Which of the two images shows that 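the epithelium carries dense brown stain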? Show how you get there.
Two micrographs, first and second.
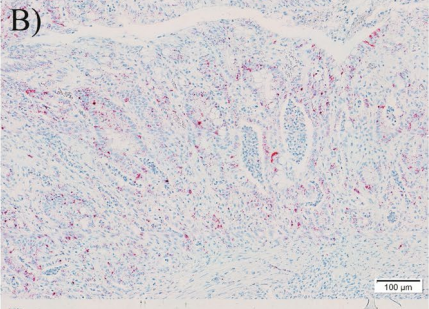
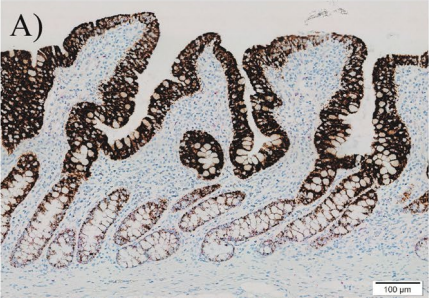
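The second image. First image: tissue mostly blue with scattered red dots, little brown. Second image: the lining epithelium is heavily stained brown.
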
